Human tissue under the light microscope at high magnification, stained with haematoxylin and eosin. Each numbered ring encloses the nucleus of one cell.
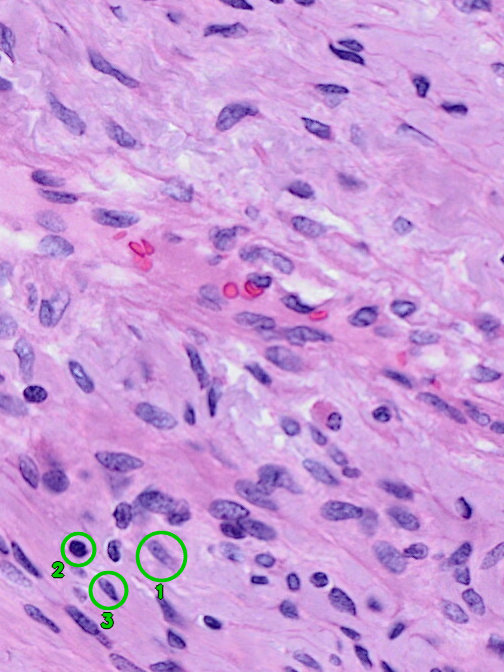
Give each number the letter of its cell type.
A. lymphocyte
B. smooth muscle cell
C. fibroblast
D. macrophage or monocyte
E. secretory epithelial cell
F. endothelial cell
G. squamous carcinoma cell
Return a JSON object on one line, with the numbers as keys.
{"1": "C", "2": "A", "3": "C"}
